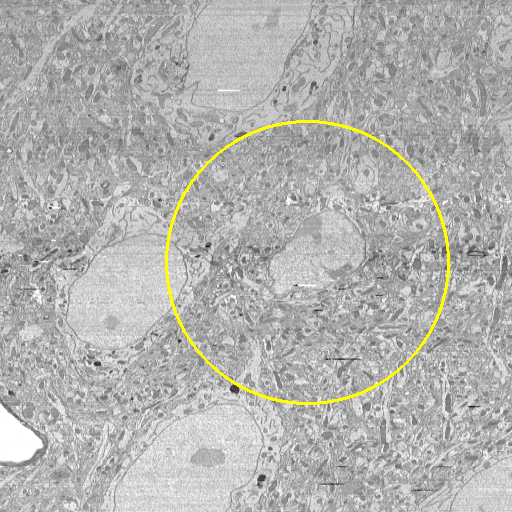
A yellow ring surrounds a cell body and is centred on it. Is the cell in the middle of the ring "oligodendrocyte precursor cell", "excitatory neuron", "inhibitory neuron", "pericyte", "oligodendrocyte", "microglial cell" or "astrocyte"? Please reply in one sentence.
The ring is centred on an oligodendrocyte precursor cell.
